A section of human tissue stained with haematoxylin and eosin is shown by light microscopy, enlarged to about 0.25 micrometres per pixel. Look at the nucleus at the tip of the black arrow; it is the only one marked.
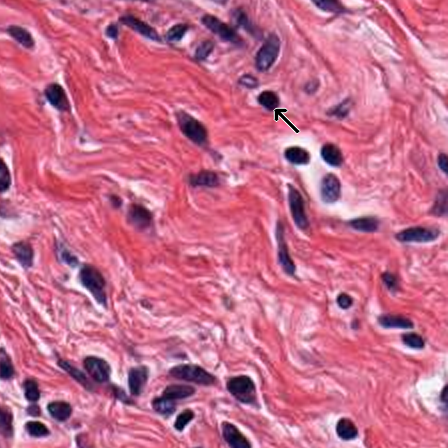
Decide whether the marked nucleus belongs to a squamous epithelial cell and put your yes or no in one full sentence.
No, rather than a squamous epithelial cell, it is a supporting cell that contains the marked nucleus.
